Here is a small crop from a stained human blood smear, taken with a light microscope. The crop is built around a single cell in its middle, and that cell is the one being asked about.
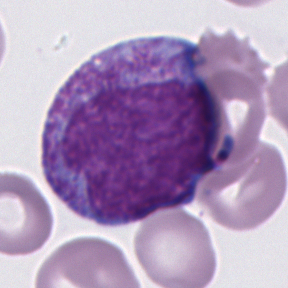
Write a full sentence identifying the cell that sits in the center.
The cell featured at the centre of this crop is a promyelocyte.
